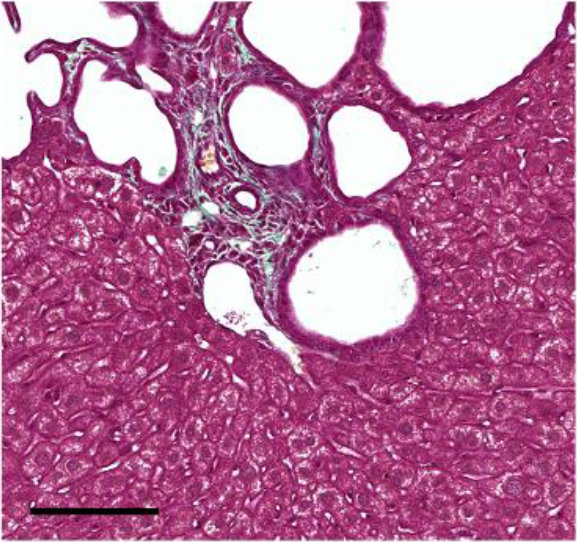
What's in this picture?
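This liver tissue shows mostly solid red parenchyma of polygonal cells with pale, granular cytoplasm and round dark nuclei, arranged in cords. In the upper middle lies a cluster of cysts: several rounded empty spaces lined by flat cells, embedded in loose tissue that holds pale green collagen fibers and a few small vessels. A large cyst edge curves across the upper right corner. The cysts are confined to this focus, while the surrounding tissue keeps its solid, cord-like arrangement.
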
